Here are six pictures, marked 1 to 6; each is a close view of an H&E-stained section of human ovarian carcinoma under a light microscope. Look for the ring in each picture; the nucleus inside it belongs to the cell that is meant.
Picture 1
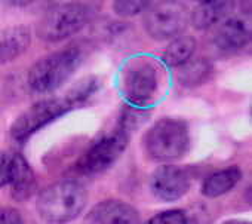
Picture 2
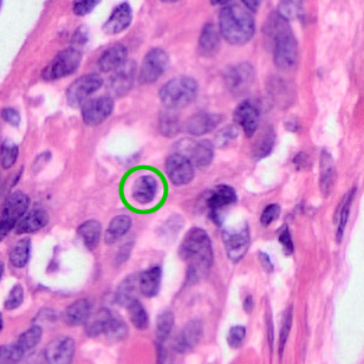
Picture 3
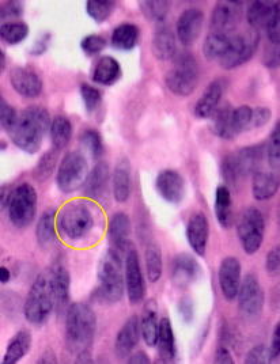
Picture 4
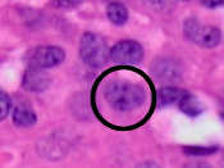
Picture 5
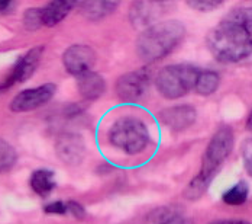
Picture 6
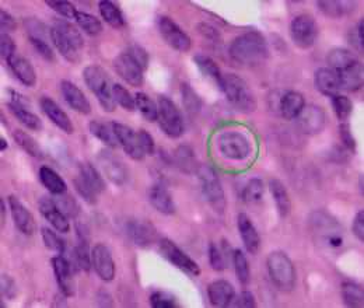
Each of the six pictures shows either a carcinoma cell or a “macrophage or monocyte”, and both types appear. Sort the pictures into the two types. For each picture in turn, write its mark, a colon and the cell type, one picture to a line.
1: carcinoma cell
2: macrophage or monocyte
3: macrophage or monocyte
4: carcinoma cell
5: macrophage or monocyte
6: macrophage or monocyte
